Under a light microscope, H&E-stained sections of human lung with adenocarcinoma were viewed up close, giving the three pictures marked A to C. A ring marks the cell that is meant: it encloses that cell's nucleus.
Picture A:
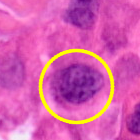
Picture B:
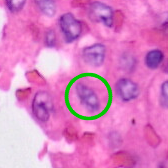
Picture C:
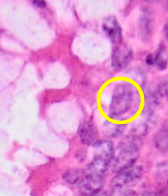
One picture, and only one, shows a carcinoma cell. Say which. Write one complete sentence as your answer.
It is picture A that shows the carcinoma cell.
